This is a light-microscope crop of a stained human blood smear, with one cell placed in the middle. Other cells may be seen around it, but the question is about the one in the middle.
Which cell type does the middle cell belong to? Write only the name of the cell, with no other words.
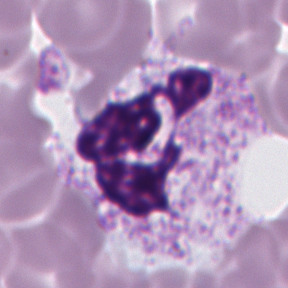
neutrophil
